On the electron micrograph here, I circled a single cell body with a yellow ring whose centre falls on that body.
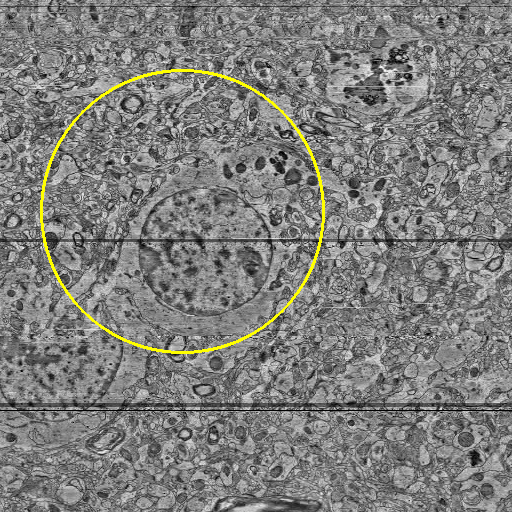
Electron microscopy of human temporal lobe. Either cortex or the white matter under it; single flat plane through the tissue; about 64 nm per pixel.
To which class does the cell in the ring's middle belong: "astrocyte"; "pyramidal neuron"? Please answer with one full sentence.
In this picture, the cell body circled at the ring's centre belongs to an astrocyte.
